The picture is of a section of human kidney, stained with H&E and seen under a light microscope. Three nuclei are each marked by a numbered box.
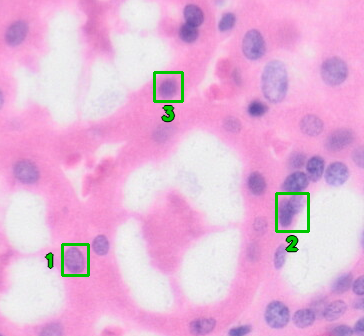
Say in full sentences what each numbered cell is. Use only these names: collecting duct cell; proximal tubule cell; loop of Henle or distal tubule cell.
Cell 1 is a proximal tubule cell, cell 2 is a collecting duct cell and cell 3 is a proximal tubule cell.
